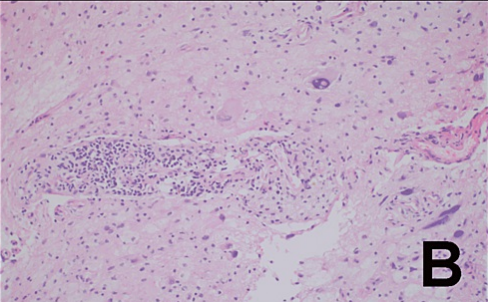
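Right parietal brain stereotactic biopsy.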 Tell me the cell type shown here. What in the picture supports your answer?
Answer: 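A few very large cells with big dark irregular nuclei lie in the pink tissue, away from the vessel.
Hence: bizarre astrocytes.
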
